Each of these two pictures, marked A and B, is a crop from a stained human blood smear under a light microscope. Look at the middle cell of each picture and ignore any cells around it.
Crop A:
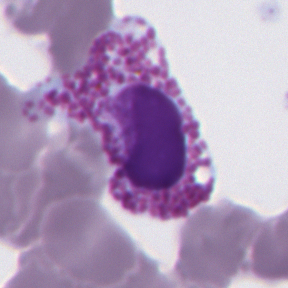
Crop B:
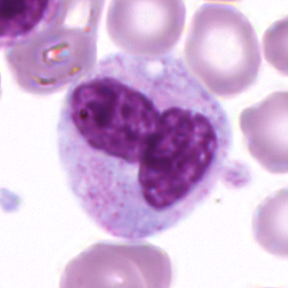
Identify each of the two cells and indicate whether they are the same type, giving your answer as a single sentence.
No, sorry, crop A shows an eosinophil and crop B shows a band neutrophil.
